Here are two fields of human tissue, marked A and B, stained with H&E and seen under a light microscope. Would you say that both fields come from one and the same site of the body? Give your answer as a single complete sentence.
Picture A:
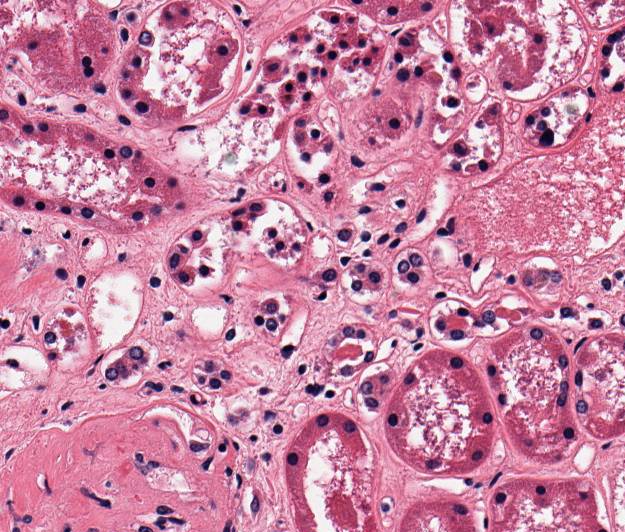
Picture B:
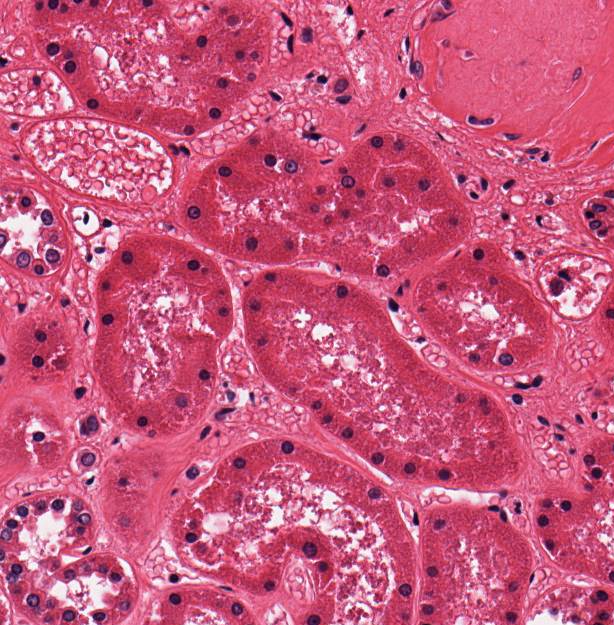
Yes, they come from the same site of the body: both come from the renal cortex.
